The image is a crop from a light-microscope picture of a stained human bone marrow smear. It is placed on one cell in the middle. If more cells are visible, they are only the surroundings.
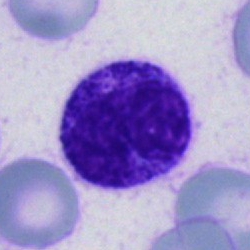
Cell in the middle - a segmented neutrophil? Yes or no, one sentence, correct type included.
No, sorry, the middle cell is a basophil rather than a segmented neutrophil.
